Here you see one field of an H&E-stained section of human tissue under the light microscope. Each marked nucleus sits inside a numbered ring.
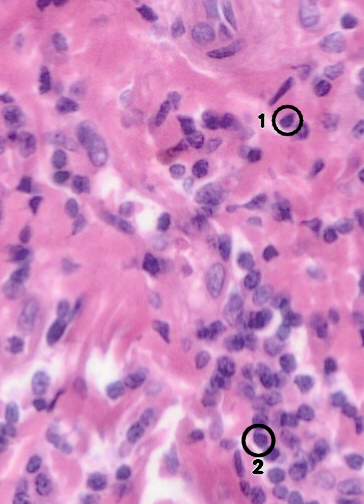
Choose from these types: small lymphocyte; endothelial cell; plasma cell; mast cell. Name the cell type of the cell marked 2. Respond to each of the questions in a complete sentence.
The cell that is numbered 2 is a small lymphocyte.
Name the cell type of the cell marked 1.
The numbered cell 1 is identified here as a mast cell.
